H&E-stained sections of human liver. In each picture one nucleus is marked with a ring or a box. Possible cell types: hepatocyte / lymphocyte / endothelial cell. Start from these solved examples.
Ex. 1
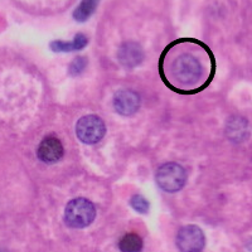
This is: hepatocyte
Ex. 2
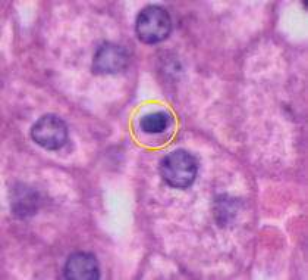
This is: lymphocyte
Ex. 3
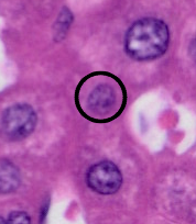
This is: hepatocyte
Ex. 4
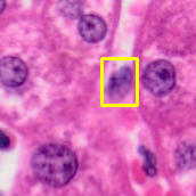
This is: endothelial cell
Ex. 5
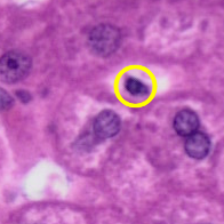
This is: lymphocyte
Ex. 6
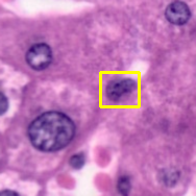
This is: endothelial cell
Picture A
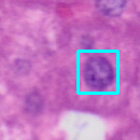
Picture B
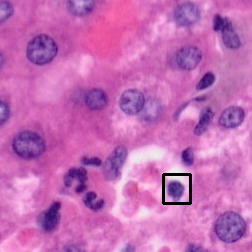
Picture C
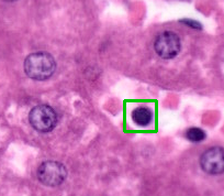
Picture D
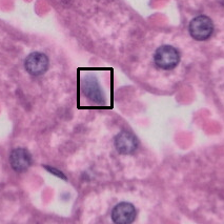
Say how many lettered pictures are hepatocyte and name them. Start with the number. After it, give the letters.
1, namely A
